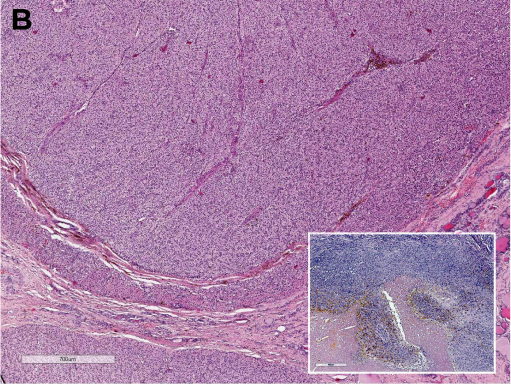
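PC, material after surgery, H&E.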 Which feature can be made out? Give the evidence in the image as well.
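A large densely cellular nodule fills the upper part. Bands of pink fibrous tissue run along its lower border. The fibrous bands separate the nodule from the tissue beyond.
Capsule.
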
